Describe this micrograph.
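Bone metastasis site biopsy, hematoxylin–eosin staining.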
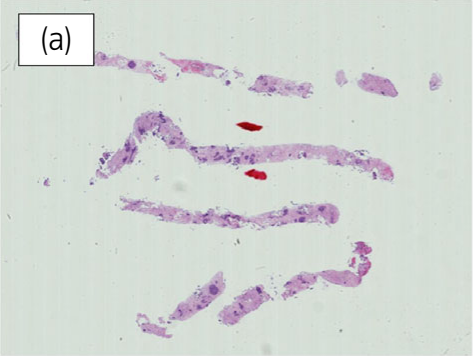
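The cores are stained pink, with scattered purple nuclei that cluster more densely in some stretches of the tissue. Individual cell borders cannot be made out at this scale, so only the general cellularity of the fragments can be judged. Two small bright red fragments lie separately between the cores.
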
